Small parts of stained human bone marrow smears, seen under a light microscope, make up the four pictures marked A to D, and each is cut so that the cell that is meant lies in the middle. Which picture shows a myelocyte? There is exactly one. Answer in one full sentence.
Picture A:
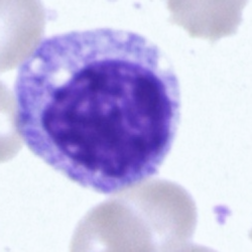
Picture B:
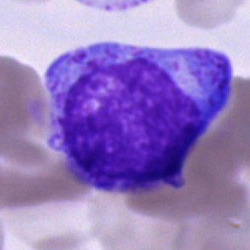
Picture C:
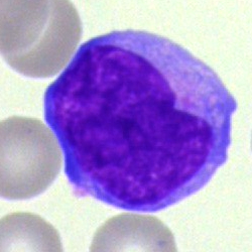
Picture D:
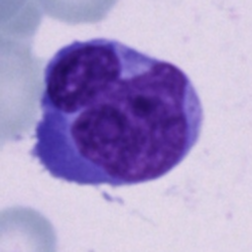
Picture A shows the myelocyte.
